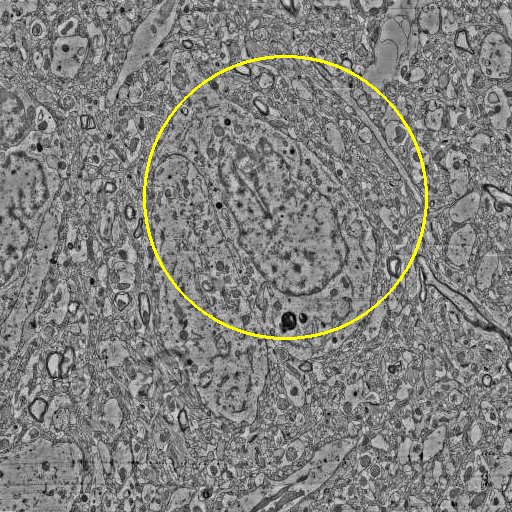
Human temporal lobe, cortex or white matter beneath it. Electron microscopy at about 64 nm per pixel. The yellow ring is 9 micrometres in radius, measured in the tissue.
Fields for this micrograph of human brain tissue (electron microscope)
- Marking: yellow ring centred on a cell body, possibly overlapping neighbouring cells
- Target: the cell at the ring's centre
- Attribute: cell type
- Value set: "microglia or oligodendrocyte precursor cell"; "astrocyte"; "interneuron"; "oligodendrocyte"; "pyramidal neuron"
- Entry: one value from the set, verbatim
interneuron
